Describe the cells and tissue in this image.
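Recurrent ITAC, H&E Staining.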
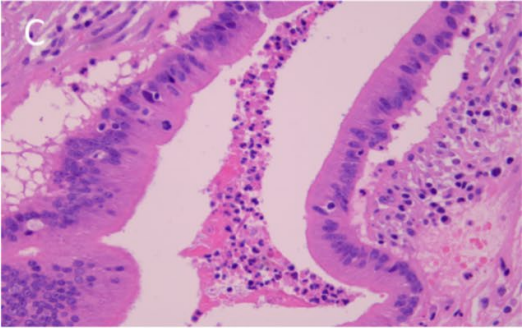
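Higher magnification of tumor glands lined by tall columnar epithelial cells facing a lumen. The nuclei are elongated, rod-like and dark, crowded and lying at different heights, while the cytoplasm is abundant and pink. The lumen between two epithelial strips contains loose cells and debris, and to the right lies a loose stroma with scattered round inflammatory cells.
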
